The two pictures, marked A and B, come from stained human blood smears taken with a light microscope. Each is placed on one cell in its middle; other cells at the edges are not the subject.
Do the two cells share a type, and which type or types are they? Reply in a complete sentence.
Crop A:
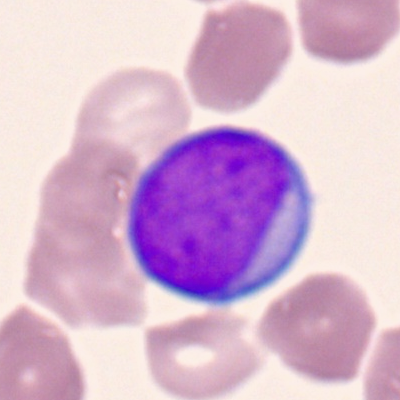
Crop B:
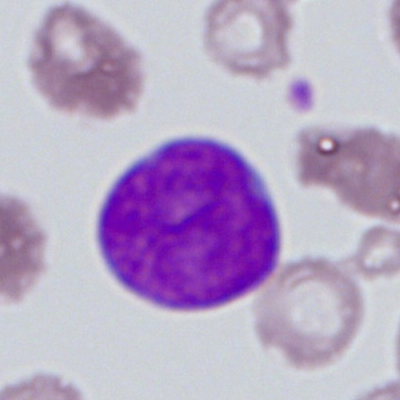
Yes, both crops show blasts, and that holds for each one.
